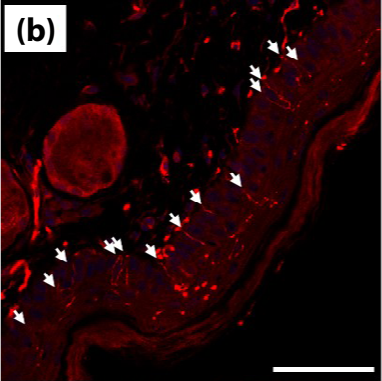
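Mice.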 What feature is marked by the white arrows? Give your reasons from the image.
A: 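Thin red threads run across a band of cells with faint blue nuclei. The arrows point to these fine red threads within that band, not to the bright blobs below it.
Intraepidermal nerve fibers.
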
